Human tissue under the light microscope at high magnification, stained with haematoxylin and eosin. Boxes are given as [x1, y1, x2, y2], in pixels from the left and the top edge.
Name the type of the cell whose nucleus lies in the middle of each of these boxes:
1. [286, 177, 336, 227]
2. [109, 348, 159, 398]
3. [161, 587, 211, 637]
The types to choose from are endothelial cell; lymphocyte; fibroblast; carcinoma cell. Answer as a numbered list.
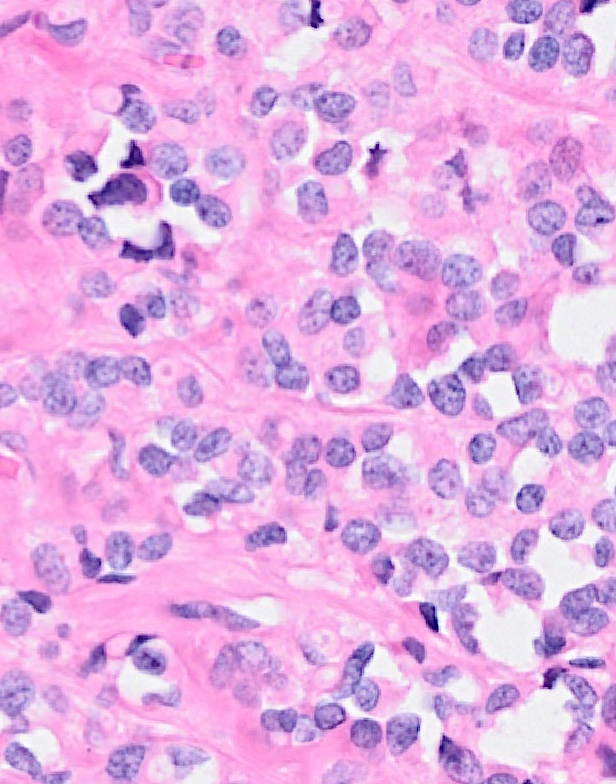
1. carcinoma cell
2. carcinoma cell
3. endothelial cell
